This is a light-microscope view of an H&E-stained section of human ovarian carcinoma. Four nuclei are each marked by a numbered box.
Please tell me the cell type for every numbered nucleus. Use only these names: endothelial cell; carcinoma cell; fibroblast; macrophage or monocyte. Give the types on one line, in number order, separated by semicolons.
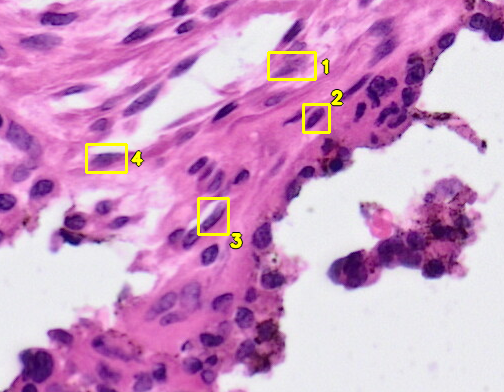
fibroblast; fibroblast; endothelial cell; fibroblast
